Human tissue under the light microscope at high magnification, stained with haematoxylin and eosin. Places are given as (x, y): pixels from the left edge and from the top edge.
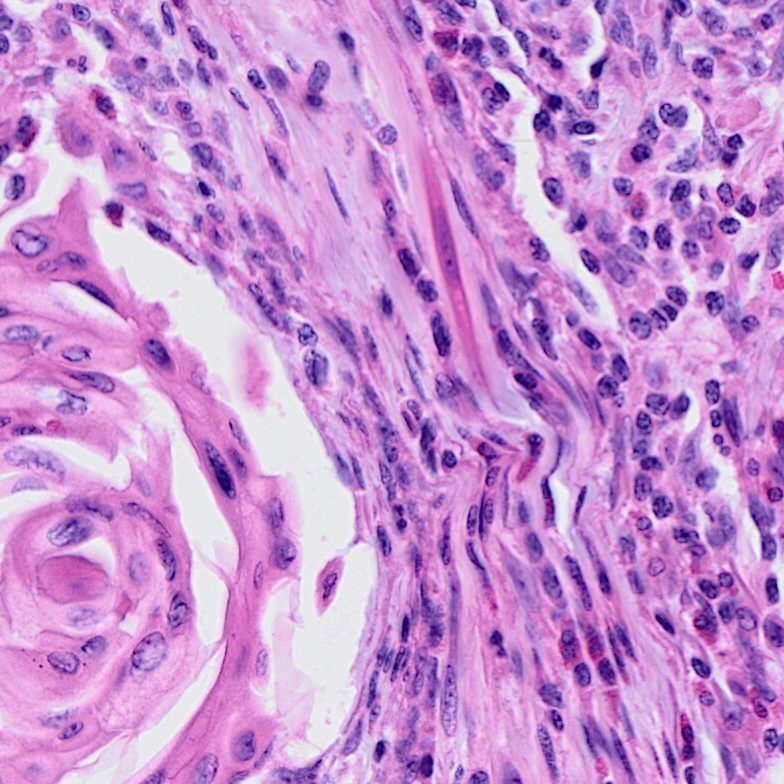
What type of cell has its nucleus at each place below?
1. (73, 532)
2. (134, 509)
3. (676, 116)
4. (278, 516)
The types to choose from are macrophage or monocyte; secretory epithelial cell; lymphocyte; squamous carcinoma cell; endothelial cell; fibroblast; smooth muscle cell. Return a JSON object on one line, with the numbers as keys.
{"1": "squamous carcinoma cell", "2": "squamous carcinoma cell", "3": "lymphocyte", "4": "squamous carcinoma cell"}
